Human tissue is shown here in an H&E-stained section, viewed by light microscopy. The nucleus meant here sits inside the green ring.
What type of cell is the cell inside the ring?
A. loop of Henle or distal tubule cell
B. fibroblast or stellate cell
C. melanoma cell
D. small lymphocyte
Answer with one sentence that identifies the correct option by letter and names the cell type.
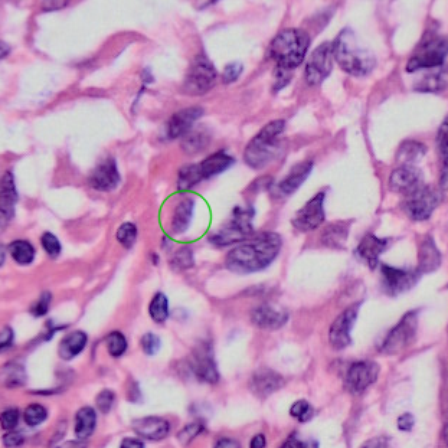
Option C is accurate, for the cell inside the ring is a melanoma cell.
